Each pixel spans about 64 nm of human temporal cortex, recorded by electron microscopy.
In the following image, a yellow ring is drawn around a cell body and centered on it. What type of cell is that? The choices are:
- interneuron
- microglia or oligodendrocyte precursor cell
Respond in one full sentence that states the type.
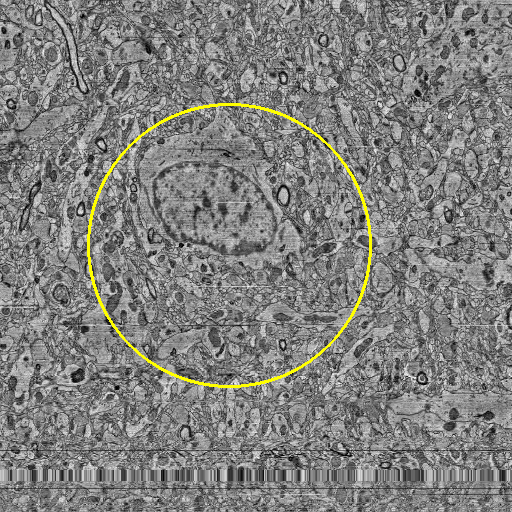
The cell at the center of the yellow ring in the image is a microglial cell or oligodendrocyte precursor cell.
